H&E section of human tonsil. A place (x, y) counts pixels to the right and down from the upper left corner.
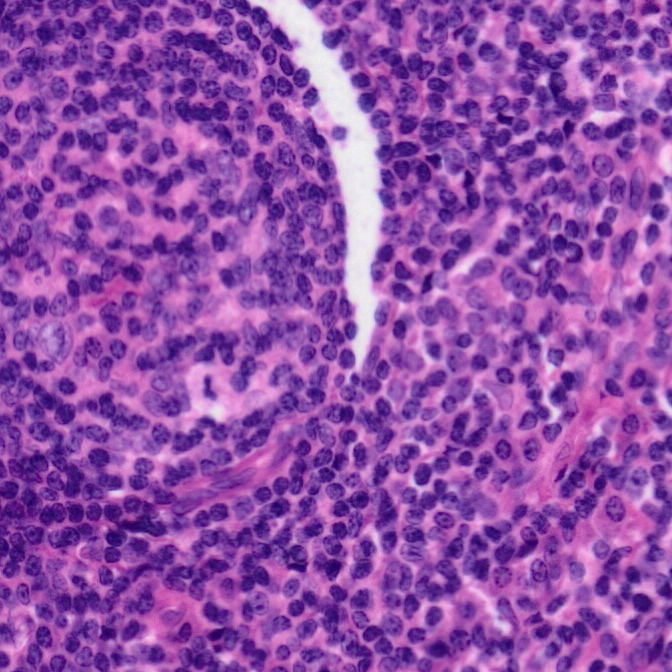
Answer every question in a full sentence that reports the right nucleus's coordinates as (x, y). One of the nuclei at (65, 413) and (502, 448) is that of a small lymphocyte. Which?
Among the two nuclei, the one found at (65, 413) belongs to a small lymphocyte.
